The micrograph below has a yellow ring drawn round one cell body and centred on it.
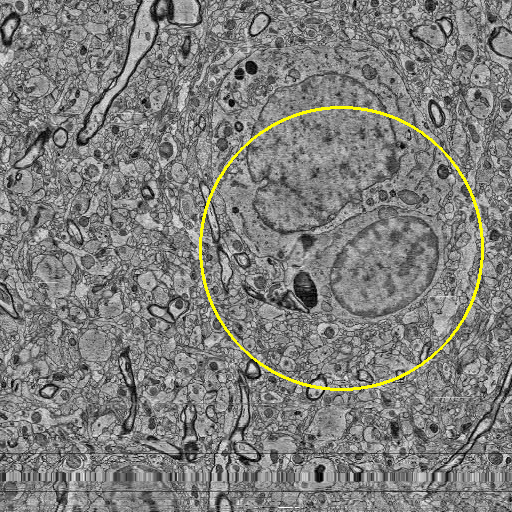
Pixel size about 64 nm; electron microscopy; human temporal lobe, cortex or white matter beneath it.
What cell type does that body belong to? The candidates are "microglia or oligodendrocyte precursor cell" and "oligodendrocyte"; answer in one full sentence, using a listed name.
This is an oligodendrocyte, the cell whose body lies at the centre of the ring.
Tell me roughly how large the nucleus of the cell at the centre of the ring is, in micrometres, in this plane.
In this plane the nucleus measures roughly 8 by 6 micrometres.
